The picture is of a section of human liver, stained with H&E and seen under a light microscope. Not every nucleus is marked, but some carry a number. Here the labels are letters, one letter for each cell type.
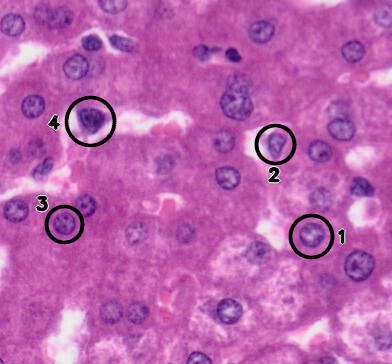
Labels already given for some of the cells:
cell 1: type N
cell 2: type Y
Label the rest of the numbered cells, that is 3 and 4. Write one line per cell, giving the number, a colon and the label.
3: type N
4: type Y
